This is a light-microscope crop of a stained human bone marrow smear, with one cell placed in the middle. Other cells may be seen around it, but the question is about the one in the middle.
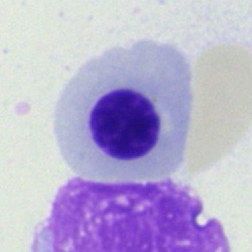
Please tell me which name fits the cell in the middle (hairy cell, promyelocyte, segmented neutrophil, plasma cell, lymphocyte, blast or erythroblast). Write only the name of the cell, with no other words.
erythroblast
